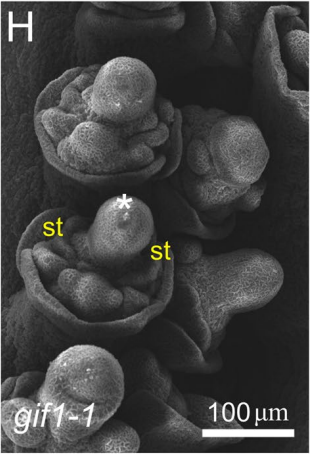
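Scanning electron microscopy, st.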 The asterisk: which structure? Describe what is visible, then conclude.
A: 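Naked ovule primordia. The asterisk sits on a rounded dome in the centre of a floret. The dome stands free, with no surrounding wall closing over it. Smaller lobes lie on either side of the dome.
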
